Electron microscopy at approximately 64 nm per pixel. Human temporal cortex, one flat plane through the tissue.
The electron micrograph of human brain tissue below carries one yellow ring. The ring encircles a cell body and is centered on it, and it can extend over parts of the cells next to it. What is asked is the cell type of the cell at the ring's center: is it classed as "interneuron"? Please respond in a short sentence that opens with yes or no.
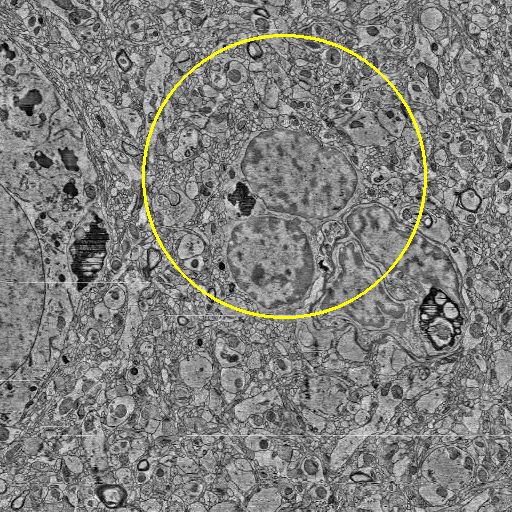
No, it is classed otherwise.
